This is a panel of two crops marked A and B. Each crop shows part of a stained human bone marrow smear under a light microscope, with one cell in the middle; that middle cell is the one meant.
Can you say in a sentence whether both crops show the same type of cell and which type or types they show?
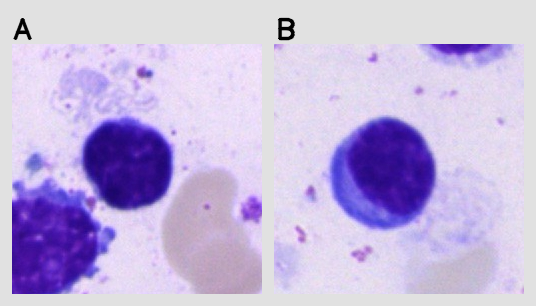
Yes, it is lymphocytes that sit at the centre of both crops.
